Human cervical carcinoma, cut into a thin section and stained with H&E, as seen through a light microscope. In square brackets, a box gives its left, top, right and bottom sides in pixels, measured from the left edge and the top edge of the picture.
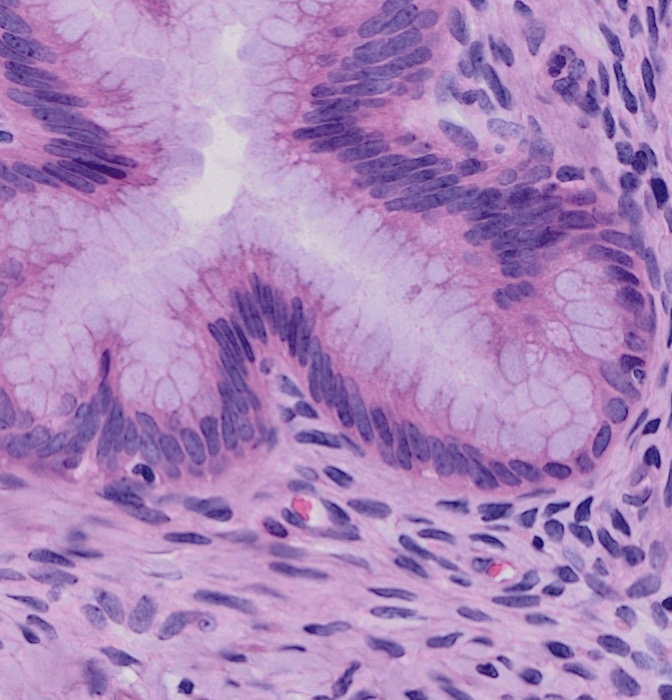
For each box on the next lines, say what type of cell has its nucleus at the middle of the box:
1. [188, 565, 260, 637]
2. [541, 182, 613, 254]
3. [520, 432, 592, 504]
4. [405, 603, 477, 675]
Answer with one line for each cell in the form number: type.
1: fibroblast
2: secretory epithelial cell
3: secretory epithelial cell
4: fibroblast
